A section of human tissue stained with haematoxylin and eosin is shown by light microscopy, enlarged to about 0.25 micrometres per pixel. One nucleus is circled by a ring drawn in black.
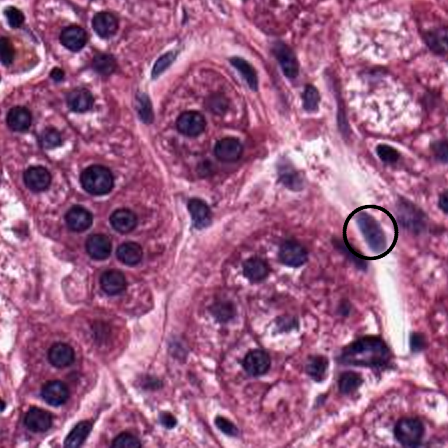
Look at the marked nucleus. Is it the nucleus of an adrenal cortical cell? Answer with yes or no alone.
no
